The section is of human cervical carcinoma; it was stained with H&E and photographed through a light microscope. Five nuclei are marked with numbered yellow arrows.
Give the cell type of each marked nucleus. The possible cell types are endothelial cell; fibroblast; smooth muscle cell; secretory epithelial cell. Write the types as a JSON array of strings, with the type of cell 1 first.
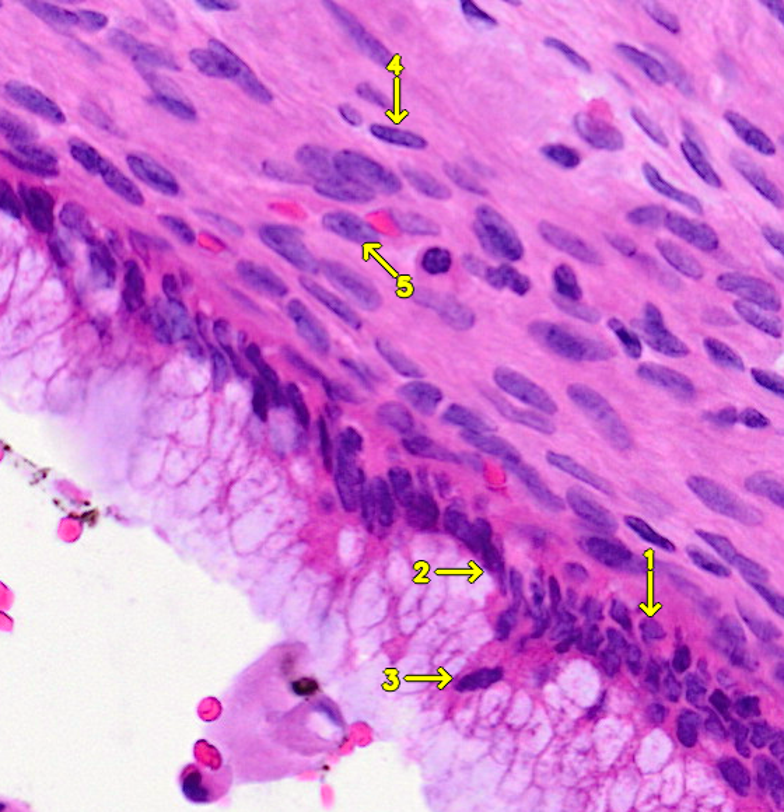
["secretory epithelial cell", "secretory epithelial cell", "secretory epithelial cell", "fibroblast", "endothelial cell"]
